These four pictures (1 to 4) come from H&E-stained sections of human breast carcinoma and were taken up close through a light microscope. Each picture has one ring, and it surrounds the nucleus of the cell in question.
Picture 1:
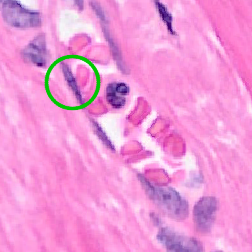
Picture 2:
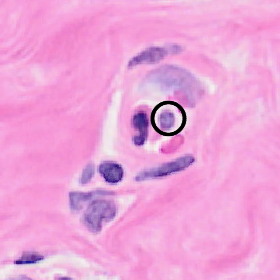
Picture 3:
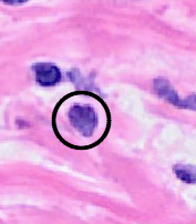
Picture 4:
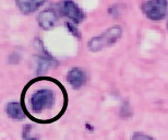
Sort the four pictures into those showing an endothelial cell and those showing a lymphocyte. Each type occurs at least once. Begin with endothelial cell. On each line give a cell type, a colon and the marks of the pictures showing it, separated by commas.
endothelial cell: 1
lymphocyte: 2, 3, 4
